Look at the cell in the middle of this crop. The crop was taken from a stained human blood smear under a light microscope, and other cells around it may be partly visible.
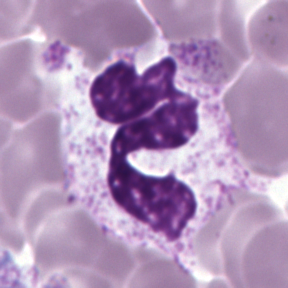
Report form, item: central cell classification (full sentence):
On this slide crop, the central cell is a segmented neutrophil.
